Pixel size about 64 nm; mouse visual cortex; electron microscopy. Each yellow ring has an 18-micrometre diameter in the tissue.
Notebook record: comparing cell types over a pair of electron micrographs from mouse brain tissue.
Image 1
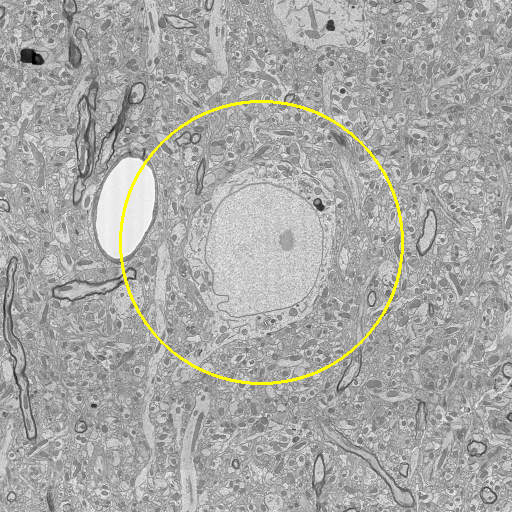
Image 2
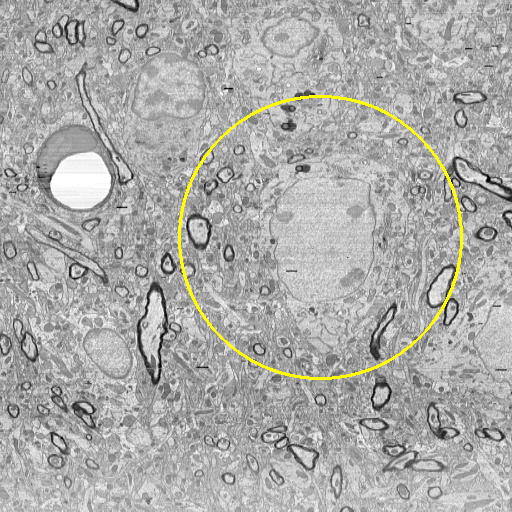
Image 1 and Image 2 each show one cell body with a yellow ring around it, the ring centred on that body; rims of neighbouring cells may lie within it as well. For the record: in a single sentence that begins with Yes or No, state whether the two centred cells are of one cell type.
Yes, one cell type is shared by the centred cells of Image 1 and Image 2.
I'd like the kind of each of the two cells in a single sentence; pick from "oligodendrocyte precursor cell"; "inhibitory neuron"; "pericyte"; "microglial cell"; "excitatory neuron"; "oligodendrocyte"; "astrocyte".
Each of the ringed cells, first and second, is an excitatory neuron.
